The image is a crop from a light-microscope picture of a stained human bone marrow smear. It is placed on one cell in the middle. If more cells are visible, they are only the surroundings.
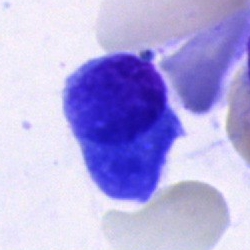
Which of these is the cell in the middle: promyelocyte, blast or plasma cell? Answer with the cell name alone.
plasma cell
